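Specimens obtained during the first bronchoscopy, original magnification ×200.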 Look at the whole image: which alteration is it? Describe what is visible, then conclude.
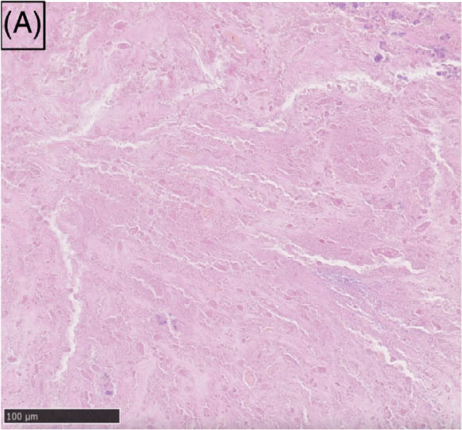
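The tissue is a pale pink, largely structureless eosinophilic mass. Crisp, intact nuclei are almost absent. Only faint ghost outlines of former structures remain, separated by clefts. So: coagulative necrotic tissue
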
